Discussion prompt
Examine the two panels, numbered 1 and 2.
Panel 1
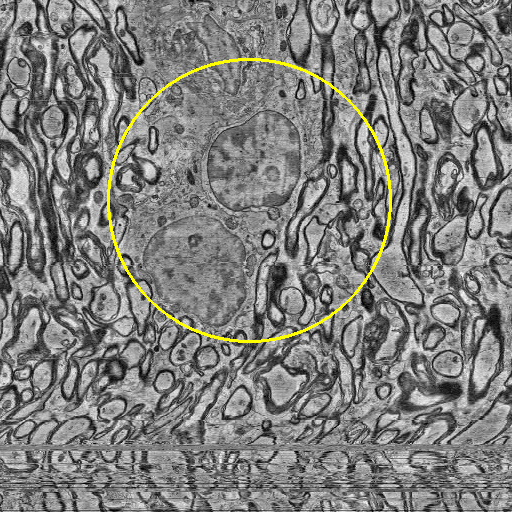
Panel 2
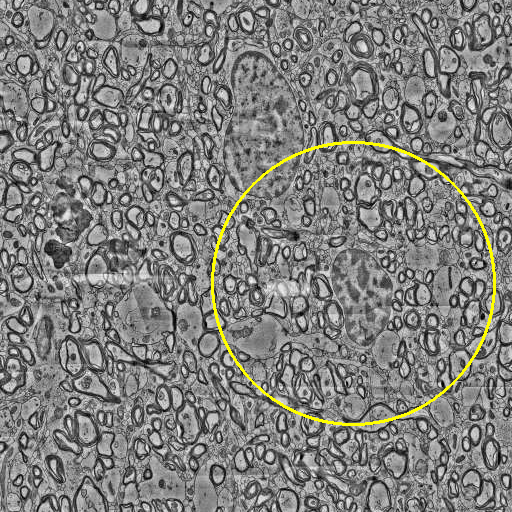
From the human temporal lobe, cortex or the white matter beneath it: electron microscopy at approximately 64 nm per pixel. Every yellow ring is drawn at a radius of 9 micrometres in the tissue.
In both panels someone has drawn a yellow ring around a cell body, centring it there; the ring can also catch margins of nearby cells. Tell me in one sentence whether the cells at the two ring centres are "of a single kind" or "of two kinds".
Taken together, the two cells centred in the rings of Panels 1 and 2 are of a single kind.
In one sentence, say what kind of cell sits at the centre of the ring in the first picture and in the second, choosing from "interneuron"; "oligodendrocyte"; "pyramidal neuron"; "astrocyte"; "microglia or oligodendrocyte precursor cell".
In the first picture and in the second, the ring is centred on a microglial cell or oligodendrocyte precursor cell.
